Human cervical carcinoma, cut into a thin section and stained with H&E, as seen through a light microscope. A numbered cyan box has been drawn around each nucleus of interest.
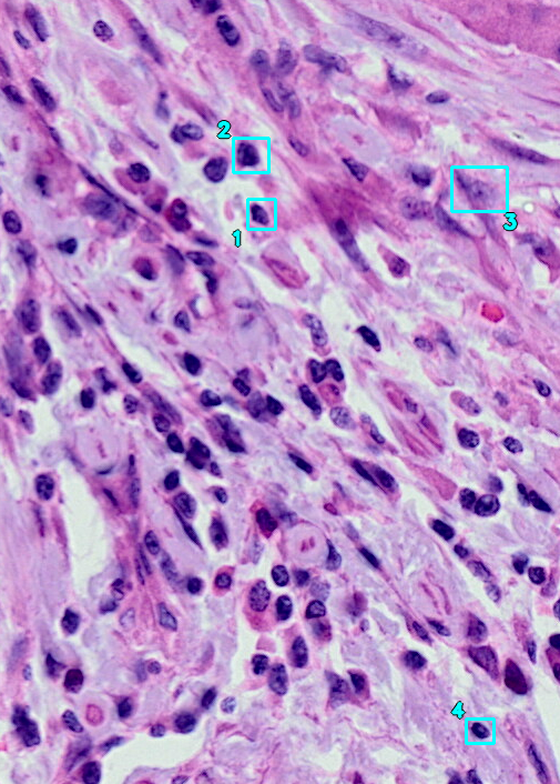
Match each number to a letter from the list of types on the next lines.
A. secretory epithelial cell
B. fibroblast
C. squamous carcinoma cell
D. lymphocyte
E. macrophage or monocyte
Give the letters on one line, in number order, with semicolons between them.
D; D; B; D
